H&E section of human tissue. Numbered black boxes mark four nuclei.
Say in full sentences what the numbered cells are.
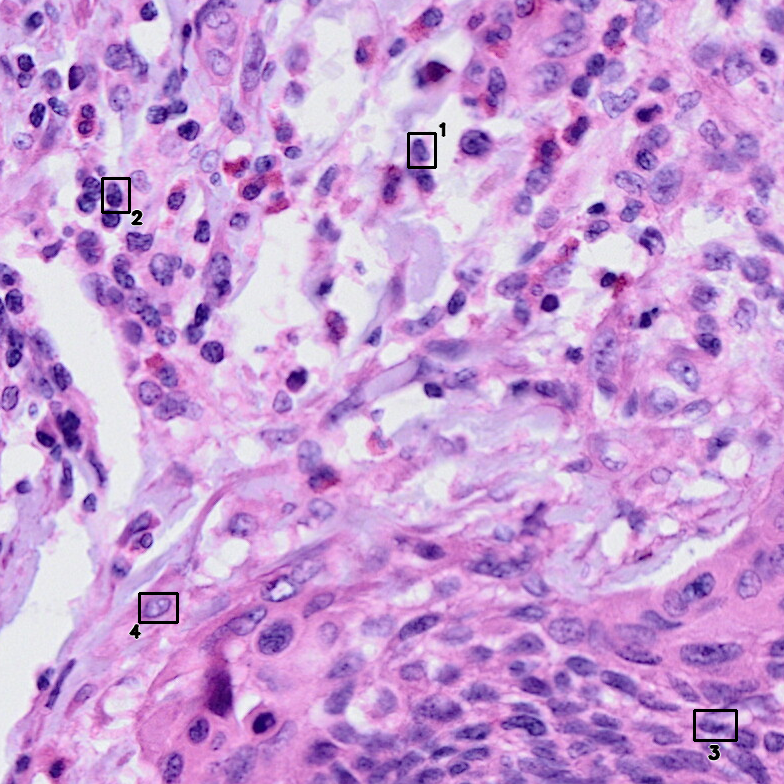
Cell 1 is a lymphocyte, cell 2 is a lymphocyte, cell 3 is a squamous carcinoma cell and cell 4 is an endothelial cell.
